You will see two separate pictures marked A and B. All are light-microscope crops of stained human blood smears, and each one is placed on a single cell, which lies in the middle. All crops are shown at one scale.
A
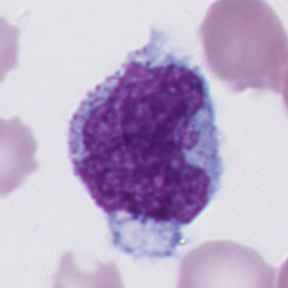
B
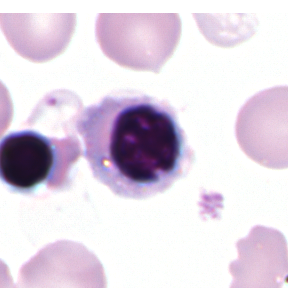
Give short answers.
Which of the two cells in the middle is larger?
A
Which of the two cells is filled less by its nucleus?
B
